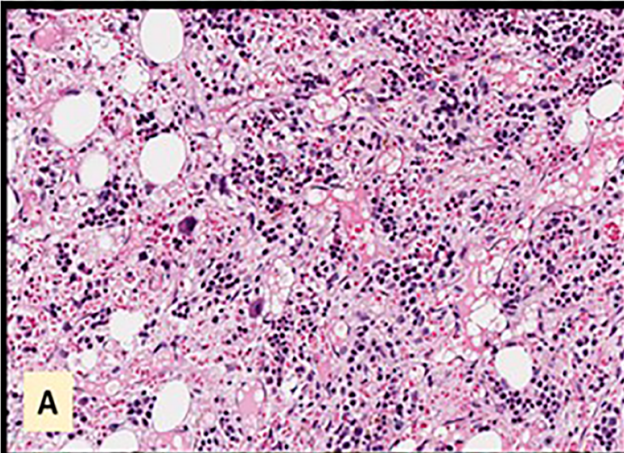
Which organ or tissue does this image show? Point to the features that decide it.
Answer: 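Bone marrow. Round empty fat spaces are scattered among densely packed small round cells. Large cells with big dark lobulated nuclei lie among the smaller cells. Clusters of small cells with round dark nuclei sit in a pink stroma.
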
